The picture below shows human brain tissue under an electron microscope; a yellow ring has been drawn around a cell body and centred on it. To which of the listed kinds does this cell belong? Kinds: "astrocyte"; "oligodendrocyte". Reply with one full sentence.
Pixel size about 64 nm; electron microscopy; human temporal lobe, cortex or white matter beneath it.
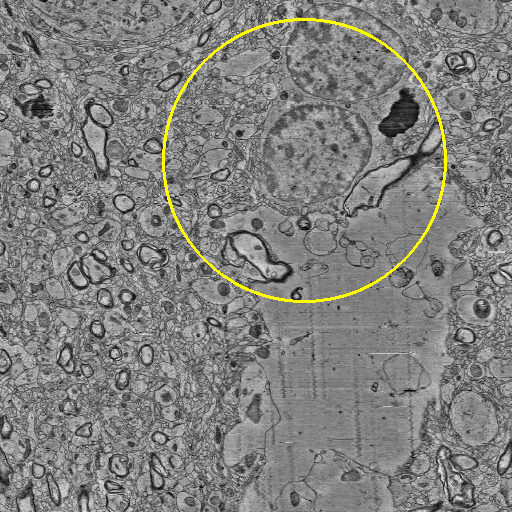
It is an oligodendrocyte that the yellow ring in the picture is centred on.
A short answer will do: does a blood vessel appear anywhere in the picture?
Yes, one appears.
